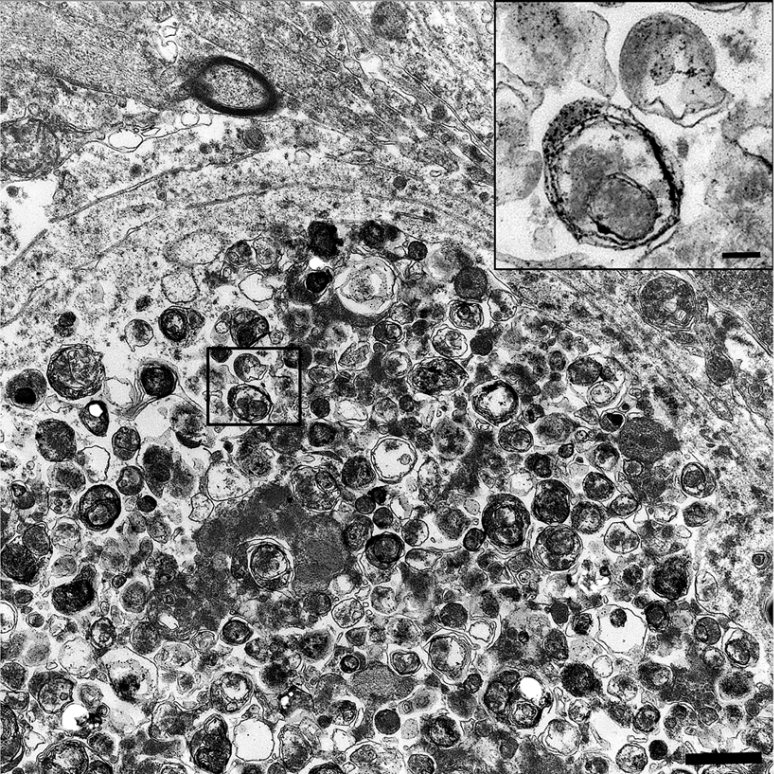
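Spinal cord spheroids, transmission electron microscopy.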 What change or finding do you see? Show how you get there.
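Large area densely filled with many round membrane-bound vacuoles of varied density. No thick dark myelin ring surrounds the vacuole-filled area.
Answer: closely packed accumulations of membrane-bound vacuolar structures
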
